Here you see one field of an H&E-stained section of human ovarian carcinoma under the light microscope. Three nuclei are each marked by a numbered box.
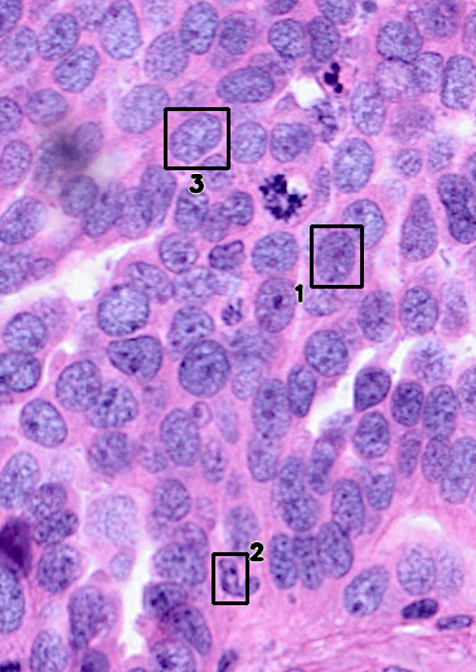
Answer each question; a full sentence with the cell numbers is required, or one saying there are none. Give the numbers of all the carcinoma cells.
The cells that have numbers 1 and 3 are carcinoma cells.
